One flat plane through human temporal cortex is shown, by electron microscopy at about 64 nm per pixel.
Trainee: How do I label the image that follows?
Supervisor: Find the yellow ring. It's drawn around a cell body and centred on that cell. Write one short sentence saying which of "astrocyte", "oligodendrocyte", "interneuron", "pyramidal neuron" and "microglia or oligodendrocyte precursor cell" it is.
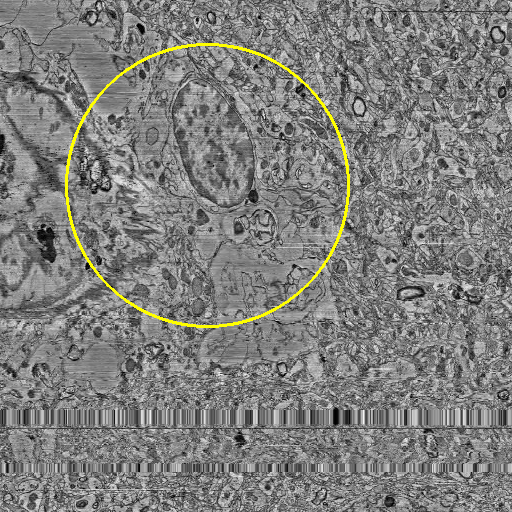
This is the cell body of a microglial cell or oligodendrocyte precursor cell.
